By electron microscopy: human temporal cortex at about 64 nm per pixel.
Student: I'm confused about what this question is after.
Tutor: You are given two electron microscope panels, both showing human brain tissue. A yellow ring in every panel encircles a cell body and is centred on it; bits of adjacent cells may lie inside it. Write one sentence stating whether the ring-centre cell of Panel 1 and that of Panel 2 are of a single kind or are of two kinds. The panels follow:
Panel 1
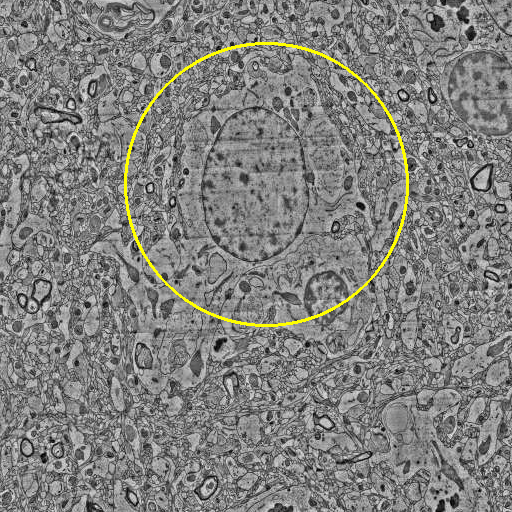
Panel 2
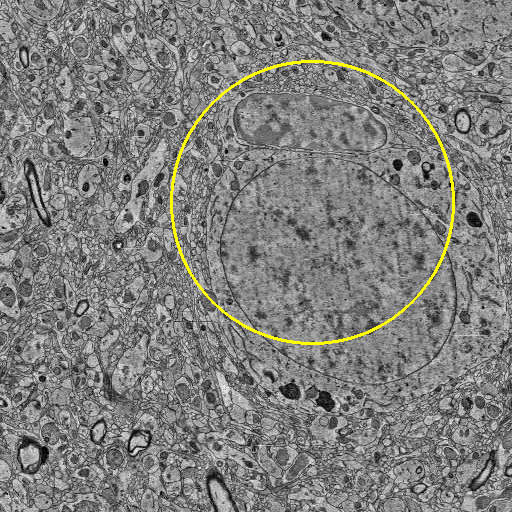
Here, the Panel 1 ring-centre cell and the Panel 2 ring-centre cell are of two kinds.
